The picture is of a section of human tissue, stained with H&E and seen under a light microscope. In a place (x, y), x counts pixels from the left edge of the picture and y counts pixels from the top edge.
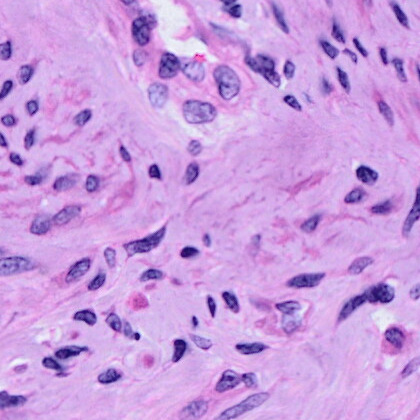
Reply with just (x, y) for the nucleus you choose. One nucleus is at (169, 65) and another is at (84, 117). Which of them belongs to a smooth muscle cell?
(84, 117)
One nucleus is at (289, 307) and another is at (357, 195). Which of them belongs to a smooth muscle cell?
(357, 195)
